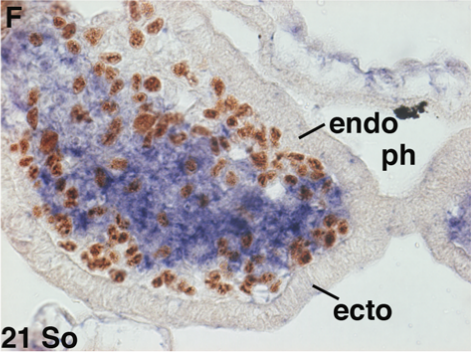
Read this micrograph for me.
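Round to oval brown-stained nuclei are densely scattered throughout the mesenchyme. The centre of the arch holds a diffuse blue-stained domain, and many brown nuclei lie right within it as well as around its margins near the two epithelia.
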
